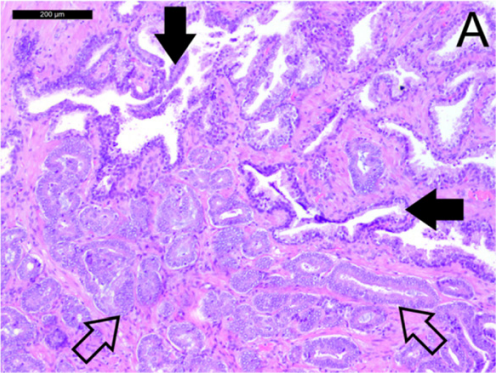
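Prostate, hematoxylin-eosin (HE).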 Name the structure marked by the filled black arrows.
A: normal glands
